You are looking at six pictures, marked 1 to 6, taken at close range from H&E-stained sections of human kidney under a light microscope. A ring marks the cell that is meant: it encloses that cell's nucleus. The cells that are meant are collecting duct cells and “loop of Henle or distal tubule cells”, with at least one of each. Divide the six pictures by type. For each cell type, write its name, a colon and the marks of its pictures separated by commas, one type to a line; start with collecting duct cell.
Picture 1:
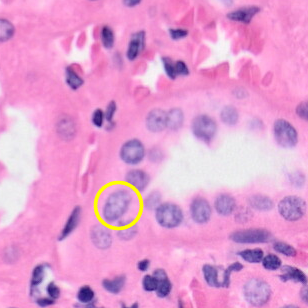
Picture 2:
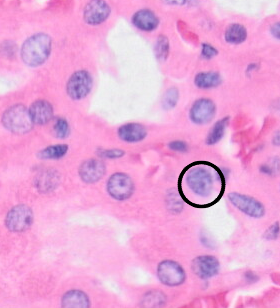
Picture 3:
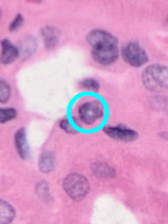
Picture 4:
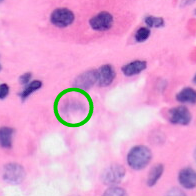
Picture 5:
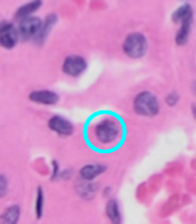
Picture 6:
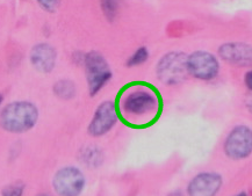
collecting duct cell: 1, 2, 3, 6
loop of Henle or distal tubule cell: 4, 5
